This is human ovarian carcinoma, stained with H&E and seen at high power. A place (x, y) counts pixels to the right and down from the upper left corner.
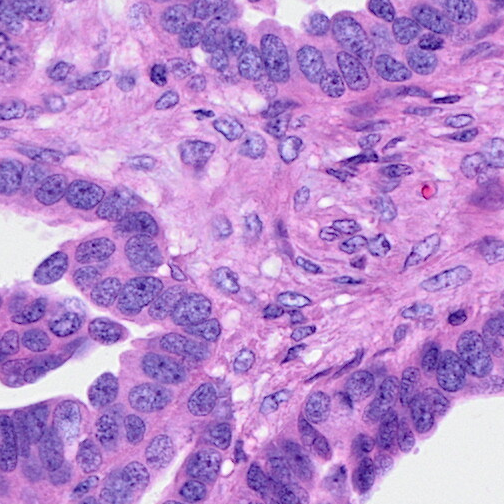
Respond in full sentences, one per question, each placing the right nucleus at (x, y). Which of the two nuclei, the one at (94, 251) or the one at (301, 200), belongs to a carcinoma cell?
The nucleus at (94, 251) is attributed to a carcinoma cell, unlike the other nucleus.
